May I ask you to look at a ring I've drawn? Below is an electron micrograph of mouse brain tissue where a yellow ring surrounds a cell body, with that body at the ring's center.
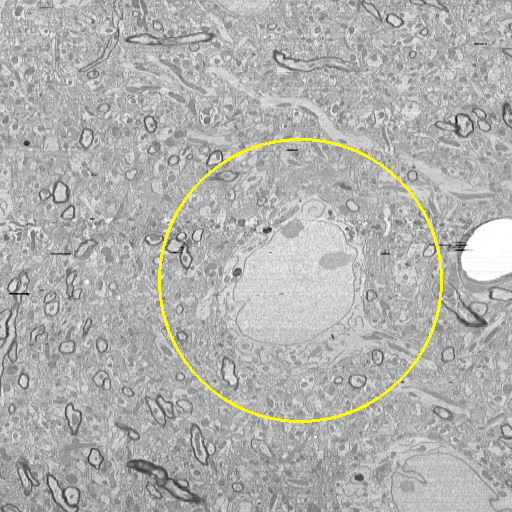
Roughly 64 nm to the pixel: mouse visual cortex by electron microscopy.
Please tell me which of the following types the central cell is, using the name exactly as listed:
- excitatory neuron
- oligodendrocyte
excitatory neuron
